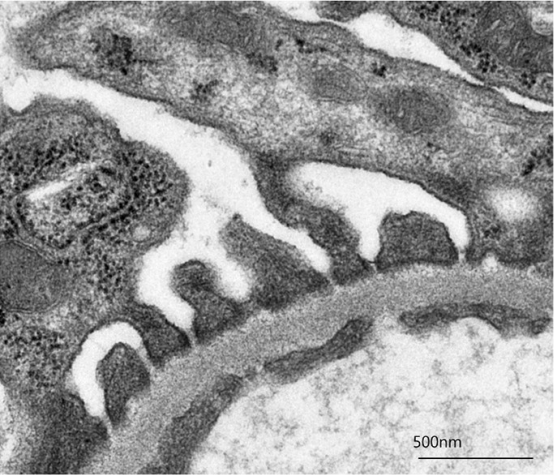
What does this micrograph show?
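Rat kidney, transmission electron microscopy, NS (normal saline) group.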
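This is part of a glomerular capillary wall, with the podocyte lying above a thick, evenly grey basement membrane and the pale capillary lumen below. The podocyte sends down many separate, rounded feet that stand side by side on the membrane with narrow gaps between them, while clear spaces of the urinary side open between the cell body and its feet. Beneath the membrane a thin, dark endothelial lining with small interruptions faces the lumen.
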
